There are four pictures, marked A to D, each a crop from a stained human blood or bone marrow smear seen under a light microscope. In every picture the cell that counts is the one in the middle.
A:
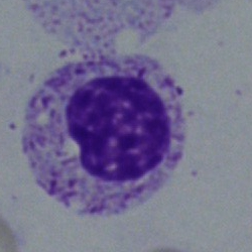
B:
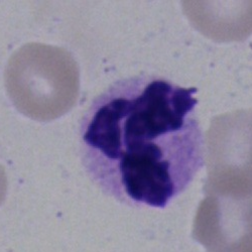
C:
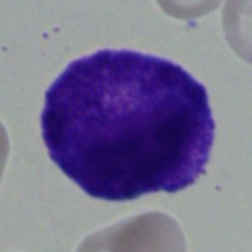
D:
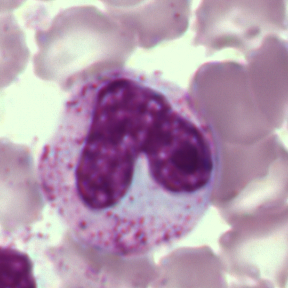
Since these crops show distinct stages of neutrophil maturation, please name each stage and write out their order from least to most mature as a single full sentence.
Taken from least mature to most mature, the crops are crop C (a promyelocyte), crop A (a myelocyte), crop D (a band neutrophil) and crop B (a segmented neutrophil).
